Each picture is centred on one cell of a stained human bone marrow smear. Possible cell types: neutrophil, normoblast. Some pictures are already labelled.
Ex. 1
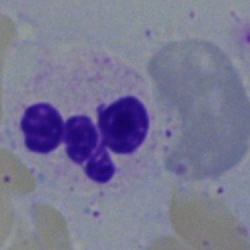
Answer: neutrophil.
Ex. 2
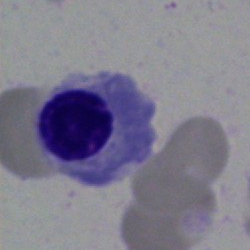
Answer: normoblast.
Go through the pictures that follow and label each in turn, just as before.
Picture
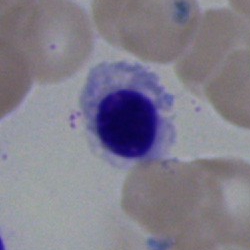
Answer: normoblast.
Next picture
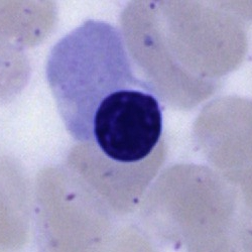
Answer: normoblast.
